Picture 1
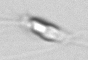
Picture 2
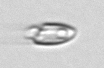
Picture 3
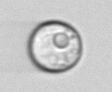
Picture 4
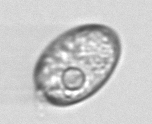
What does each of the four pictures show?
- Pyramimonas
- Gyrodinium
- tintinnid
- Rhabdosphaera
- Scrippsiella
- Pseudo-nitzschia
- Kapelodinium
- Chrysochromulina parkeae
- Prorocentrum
(1) Chrysochromulina parkeae
(2) Kapelodinium
(3) Prorocentrum
(4) Prorocentrum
